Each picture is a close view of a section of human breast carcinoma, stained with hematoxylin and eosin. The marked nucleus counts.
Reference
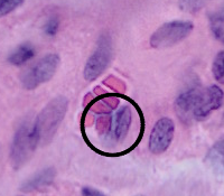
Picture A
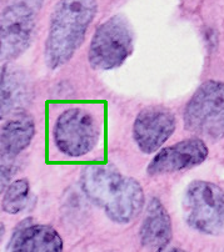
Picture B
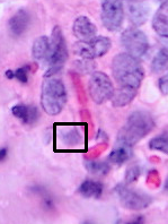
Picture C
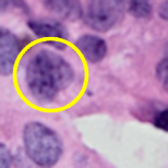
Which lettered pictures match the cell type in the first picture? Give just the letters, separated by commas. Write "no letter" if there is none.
B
